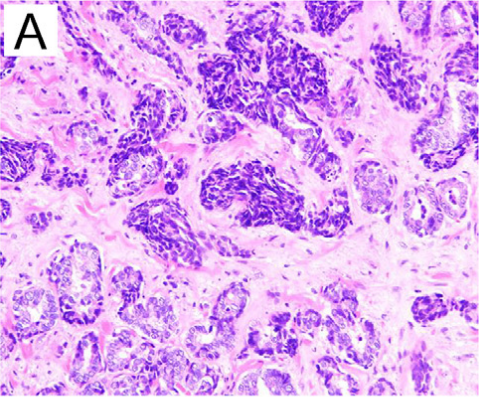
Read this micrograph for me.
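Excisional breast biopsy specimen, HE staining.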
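Some groups are arranged as small tubules around narrow central lumens. Others form solid nests and irregular clusters without lumens. Between the nests, the stroma holds sparse thin spindle-shaped stromal cells.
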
